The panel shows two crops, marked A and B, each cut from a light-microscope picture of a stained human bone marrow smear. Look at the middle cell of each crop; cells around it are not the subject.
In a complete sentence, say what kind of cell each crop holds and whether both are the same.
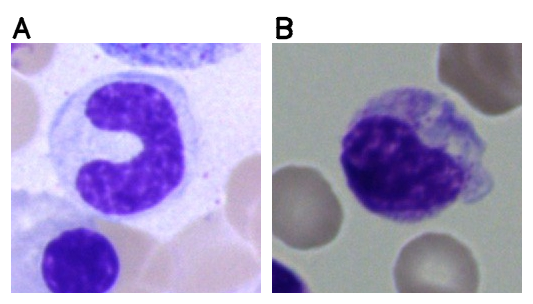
No, the correct reading is a band neutrophil in crop A and a metamyelocyte in crop B.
